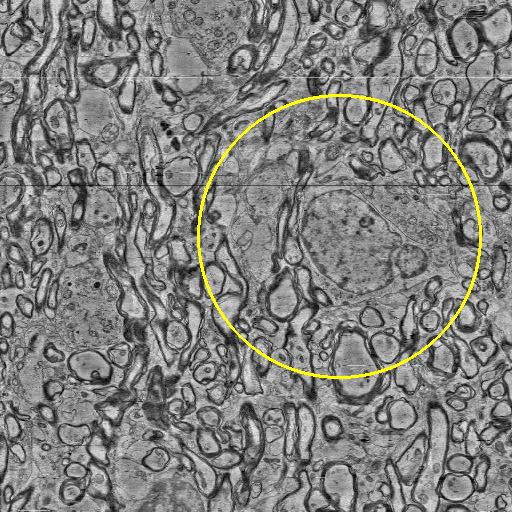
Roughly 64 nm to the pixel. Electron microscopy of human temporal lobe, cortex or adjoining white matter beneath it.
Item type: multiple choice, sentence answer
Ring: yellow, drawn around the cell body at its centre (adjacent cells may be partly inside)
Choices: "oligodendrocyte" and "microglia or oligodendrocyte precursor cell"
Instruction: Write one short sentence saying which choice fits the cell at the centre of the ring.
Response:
This ring is drawn around a microglial cell or oligodendrocyte precursor cell.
